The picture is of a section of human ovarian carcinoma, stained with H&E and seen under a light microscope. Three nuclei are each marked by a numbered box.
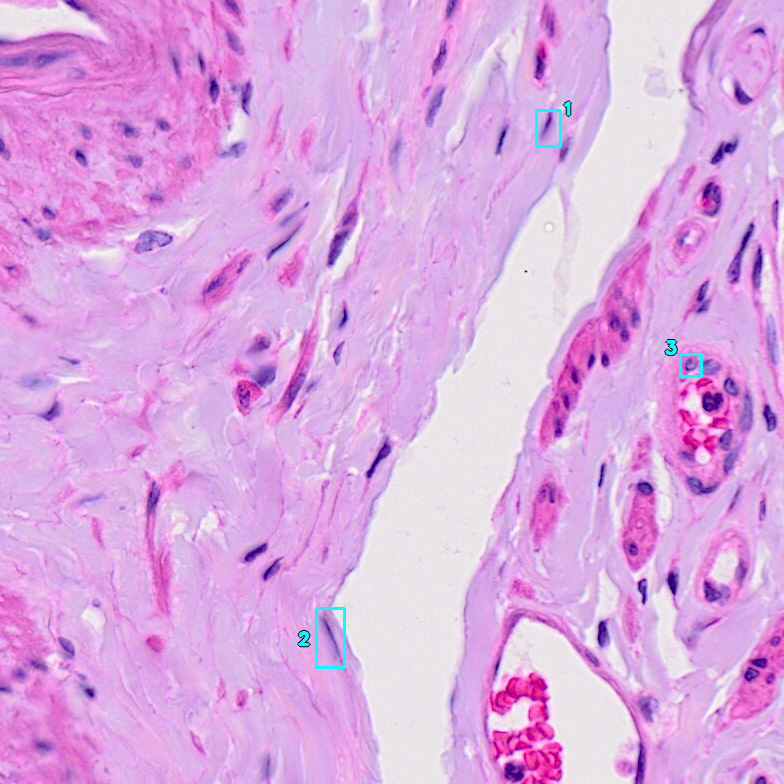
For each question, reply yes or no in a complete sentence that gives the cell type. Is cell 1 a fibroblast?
Yes, the cell at marker 1 is a fibroblast.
